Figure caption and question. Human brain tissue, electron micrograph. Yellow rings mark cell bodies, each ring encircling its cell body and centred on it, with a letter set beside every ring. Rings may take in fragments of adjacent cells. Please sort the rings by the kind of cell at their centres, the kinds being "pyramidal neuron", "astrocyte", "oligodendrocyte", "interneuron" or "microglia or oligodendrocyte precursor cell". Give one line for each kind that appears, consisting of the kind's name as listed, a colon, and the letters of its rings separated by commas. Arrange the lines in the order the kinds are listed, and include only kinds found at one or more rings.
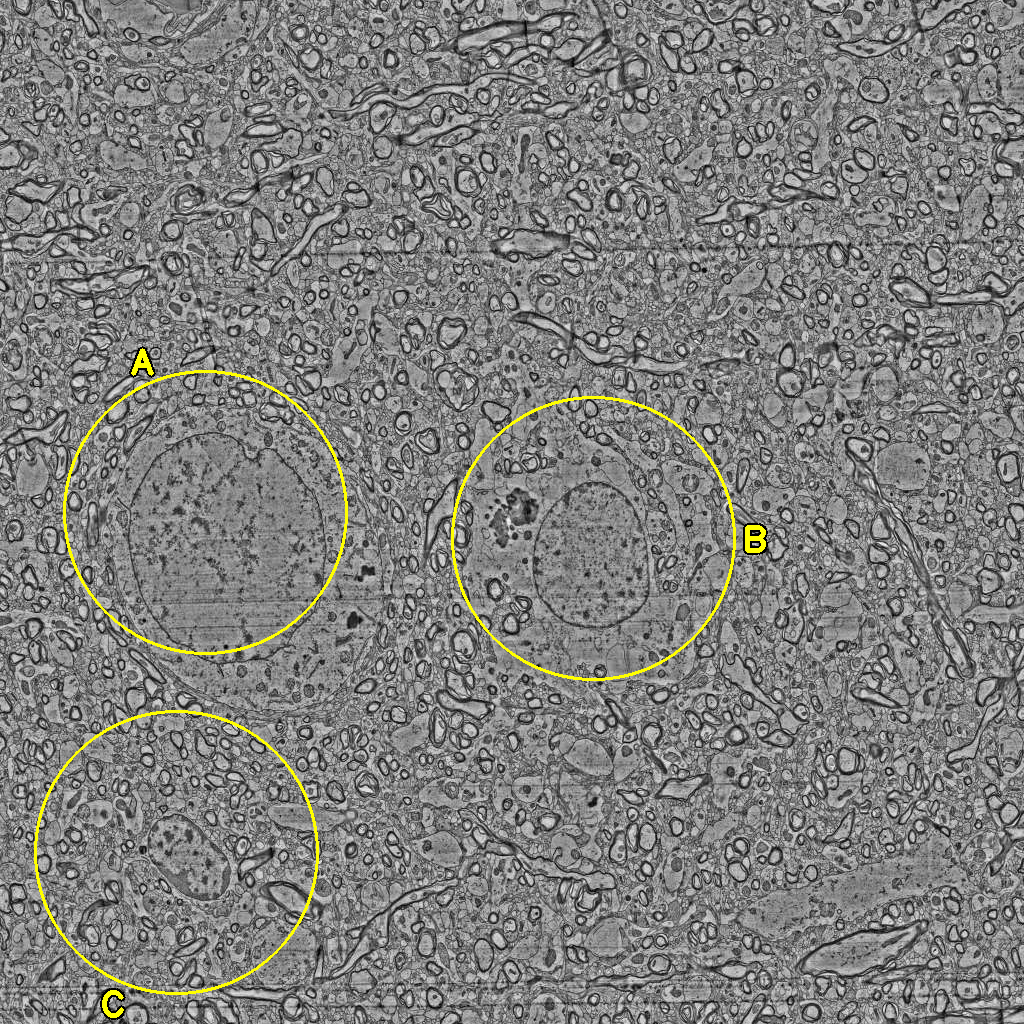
pyramidal neuron: A
astrocyte: B
microglia or oligodendrocyte precursor cell: C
